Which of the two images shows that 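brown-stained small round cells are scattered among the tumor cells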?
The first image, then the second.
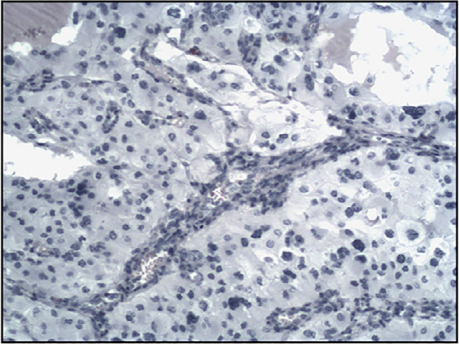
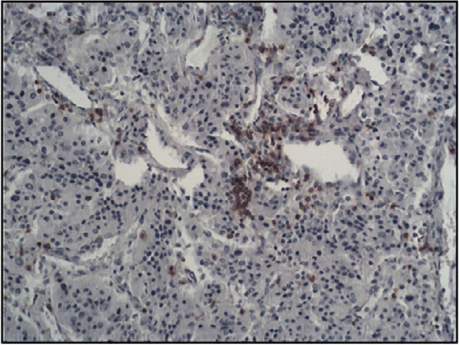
the second image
